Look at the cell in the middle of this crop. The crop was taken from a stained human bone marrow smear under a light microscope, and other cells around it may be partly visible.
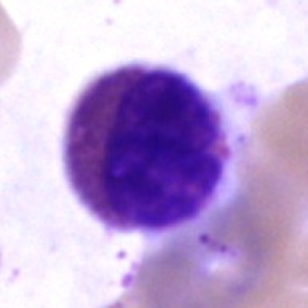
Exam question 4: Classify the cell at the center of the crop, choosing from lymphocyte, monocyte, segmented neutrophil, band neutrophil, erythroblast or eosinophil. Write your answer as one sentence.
The crop centres on a single cell, and that cell is an eosinophil.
